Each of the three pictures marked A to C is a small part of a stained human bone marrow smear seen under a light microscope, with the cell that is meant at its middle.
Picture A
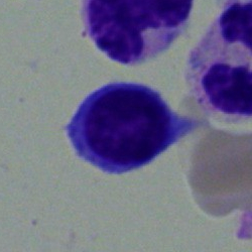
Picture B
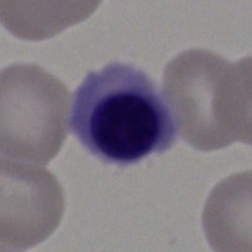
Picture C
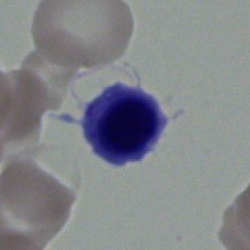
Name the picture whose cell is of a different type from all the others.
A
